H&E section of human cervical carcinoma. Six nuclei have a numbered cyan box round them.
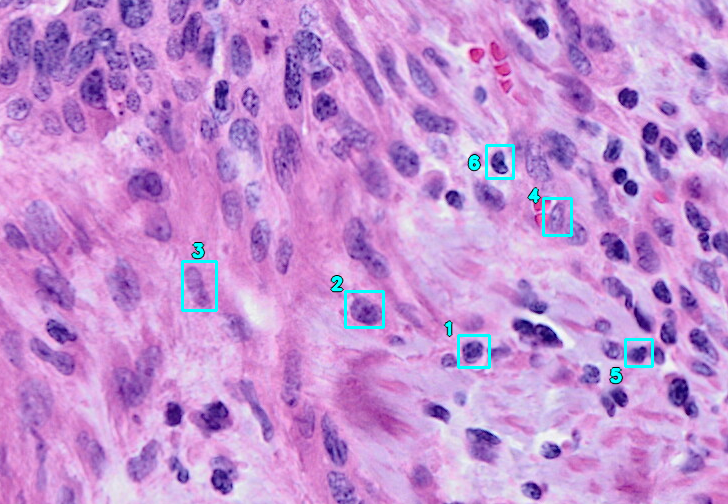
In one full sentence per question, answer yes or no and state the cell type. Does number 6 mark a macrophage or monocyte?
No, number 6 is not a macrophage or monocyte; it is a lymphocyte.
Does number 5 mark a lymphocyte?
Yes, the cell bearing the number 5 is a lymphocyte.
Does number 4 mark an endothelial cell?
Yes, the cell with number 4 is an endothelial cell.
